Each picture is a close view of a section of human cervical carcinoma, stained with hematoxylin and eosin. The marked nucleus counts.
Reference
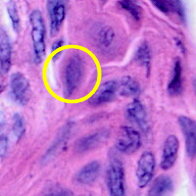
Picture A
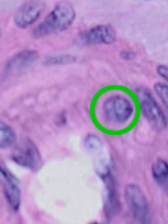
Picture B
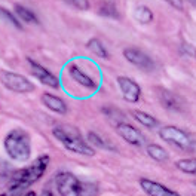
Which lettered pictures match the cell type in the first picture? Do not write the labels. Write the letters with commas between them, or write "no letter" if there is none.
no letter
